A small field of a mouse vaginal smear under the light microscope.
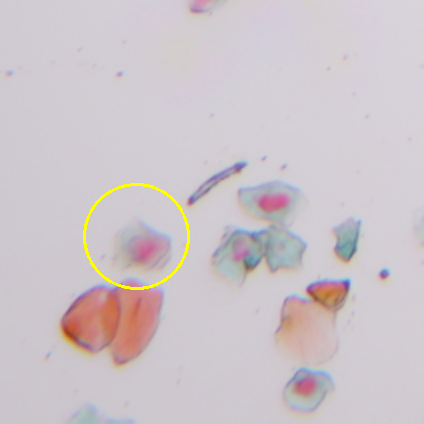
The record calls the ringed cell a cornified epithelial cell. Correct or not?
Not correct; it is a nucleated epithelial cell.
